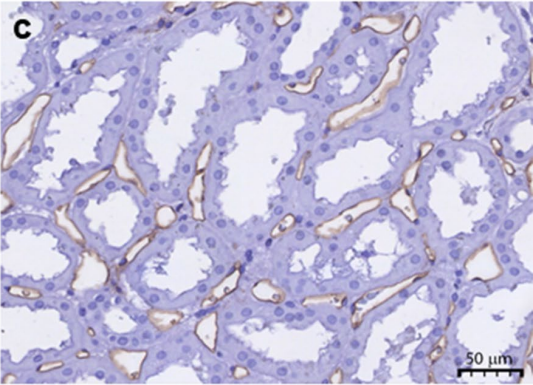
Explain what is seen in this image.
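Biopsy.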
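This is kidney cortex with tubules and the peritubular capillaries that run between them, the capillaries outlined in brown. The tubules are round to oval profiles lined by a single layer of blue-counterstained cuboidal cells with round nuclei, many with wide pale lumina and fluffy luminal material. Squeezed into the narrow interstitial spaces between neighbouring tubules are thin-walled, irregular, slit-like or triangular channels whose linings stain brown, some empty, some with pale contents. The brown staining is confined to these small vessels; the tubular epithelium stays blue.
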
